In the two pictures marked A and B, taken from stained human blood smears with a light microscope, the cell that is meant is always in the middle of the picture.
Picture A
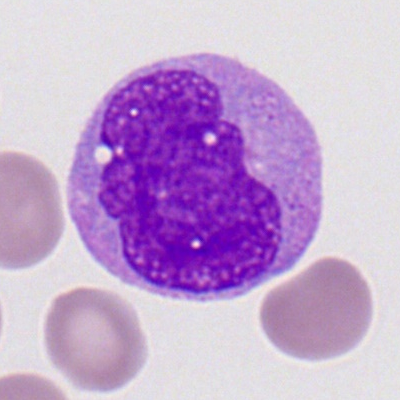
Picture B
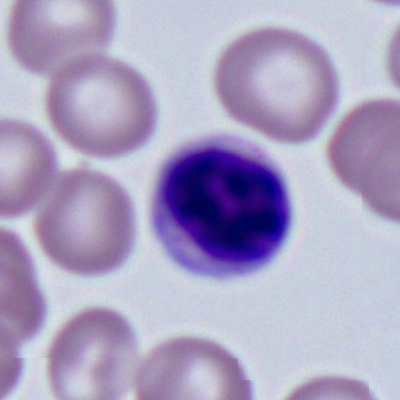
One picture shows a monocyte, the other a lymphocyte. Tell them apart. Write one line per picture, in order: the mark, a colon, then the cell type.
A: monocyte
B: lymphocyte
